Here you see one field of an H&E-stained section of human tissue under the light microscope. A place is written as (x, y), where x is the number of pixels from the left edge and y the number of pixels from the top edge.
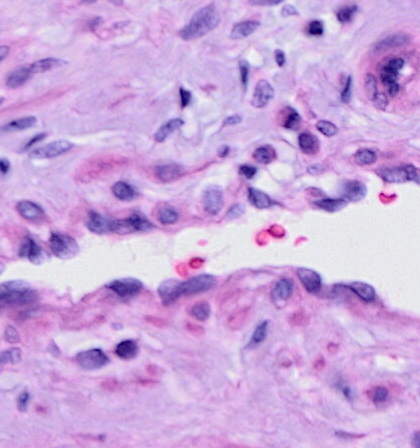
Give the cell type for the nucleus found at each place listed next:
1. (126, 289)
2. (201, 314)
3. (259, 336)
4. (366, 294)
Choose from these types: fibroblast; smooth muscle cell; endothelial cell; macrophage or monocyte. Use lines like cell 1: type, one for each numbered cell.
cell 1: endothelial cell
cell 2: smooth muscle cell
cell 3: fibroblast
cell 4: endothelial cell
